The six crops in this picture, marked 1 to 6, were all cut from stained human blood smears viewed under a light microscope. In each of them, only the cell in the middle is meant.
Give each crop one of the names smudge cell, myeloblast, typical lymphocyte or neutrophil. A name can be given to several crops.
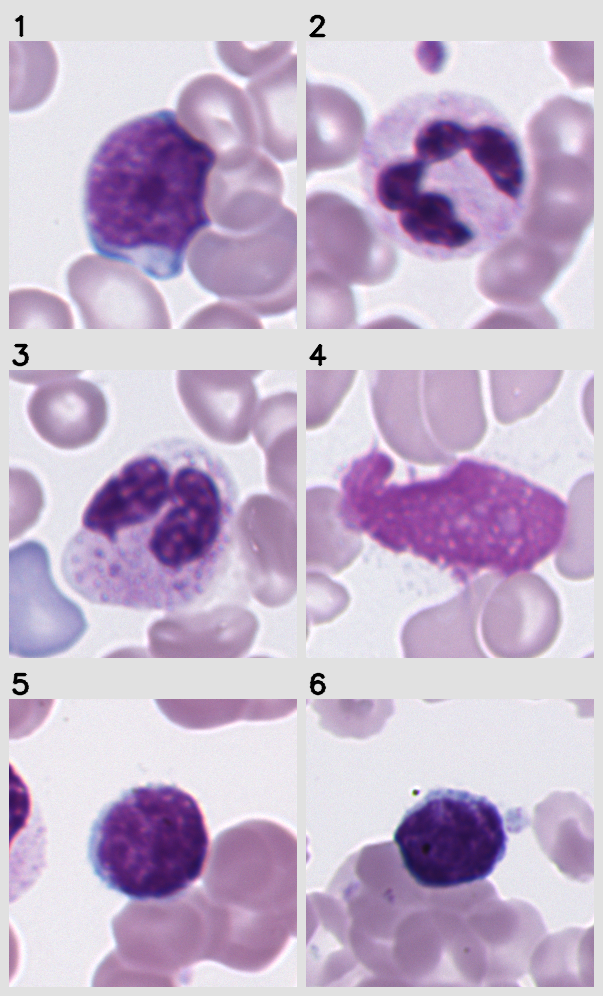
1: myeloblast
2: neutrophil
3: neutrophil
4: smudge cell
5: typical lymphocyte
6: typical lymphocyte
